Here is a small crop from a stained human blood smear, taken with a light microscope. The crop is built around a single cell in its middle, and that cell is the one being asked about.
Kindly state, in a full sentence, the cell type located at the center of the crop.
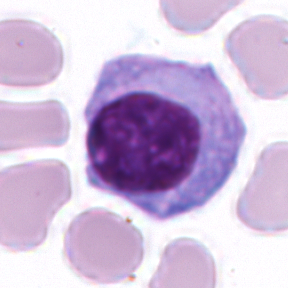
To answer, the cell in the center of the crop is a plasma cell.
